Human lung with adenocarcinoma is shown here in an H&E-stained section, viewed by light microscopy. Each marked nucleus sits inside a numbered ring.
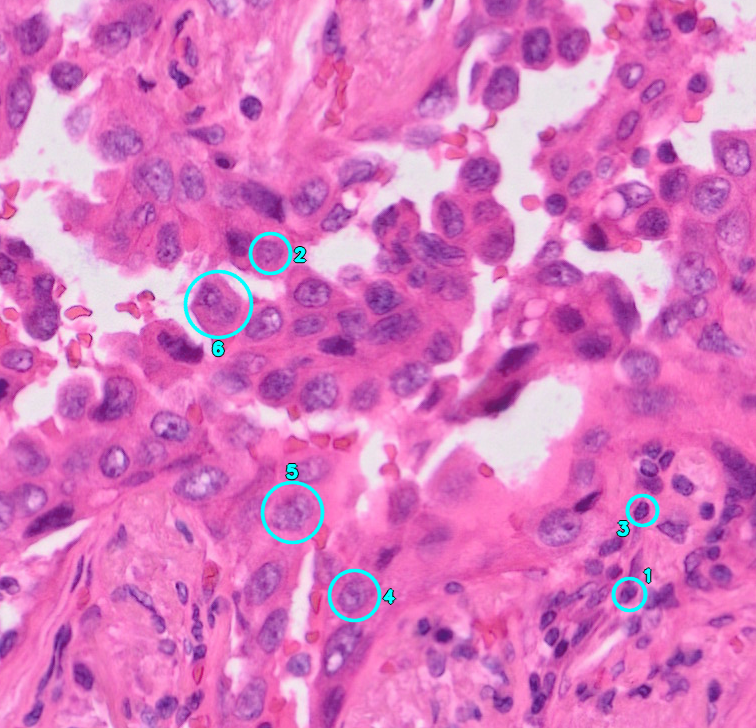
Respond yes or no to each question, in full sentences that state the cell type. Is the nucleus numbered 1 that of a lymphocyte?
Yes, the cell to which number 1 refers is a lymphocyte.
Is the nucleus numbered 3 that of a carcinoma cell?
No, the cell tagged 3 is a lymphocyte, and not a carcinoma cell.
